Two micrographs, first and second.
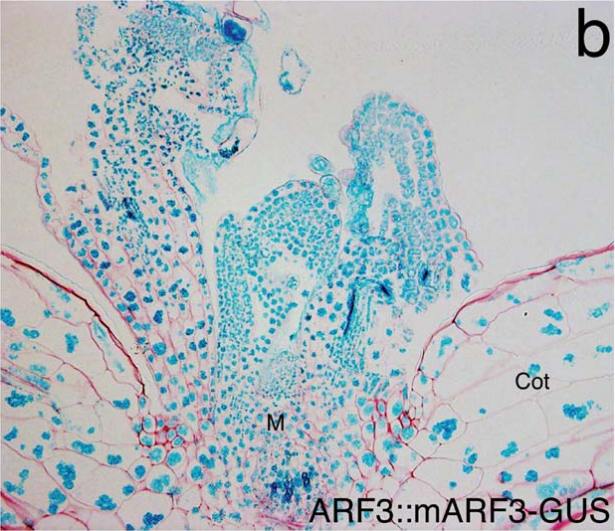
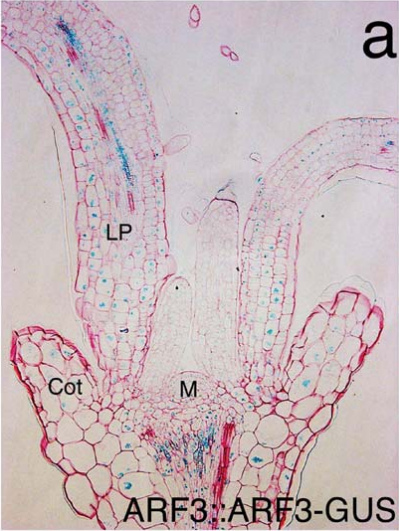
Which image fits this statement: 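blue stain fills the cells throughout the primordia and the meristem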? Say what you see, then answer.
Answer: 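First image: nearly every cell of the primordia and the central dome carries dense blue granules. Second image: only scattered faint blue dots and a few blue streaks; the central dome is almost unstained.
Answer: the first image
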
